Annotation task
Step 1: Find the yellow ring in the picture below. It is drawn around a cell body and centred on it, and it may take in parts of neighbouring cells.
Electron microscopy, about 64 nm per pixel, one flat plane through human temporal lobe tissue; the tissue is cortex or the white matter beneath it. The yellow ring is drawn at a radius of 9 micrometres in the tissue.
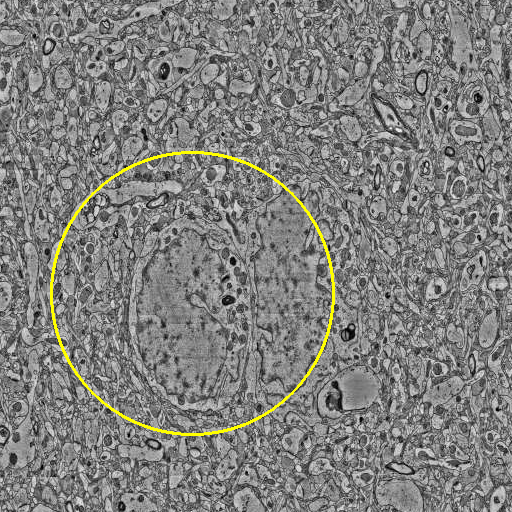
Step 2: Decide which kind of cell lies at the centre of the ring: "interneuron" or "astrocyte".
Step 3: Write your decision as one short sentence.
The kind of cell at the ring's centre is an interneuron.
